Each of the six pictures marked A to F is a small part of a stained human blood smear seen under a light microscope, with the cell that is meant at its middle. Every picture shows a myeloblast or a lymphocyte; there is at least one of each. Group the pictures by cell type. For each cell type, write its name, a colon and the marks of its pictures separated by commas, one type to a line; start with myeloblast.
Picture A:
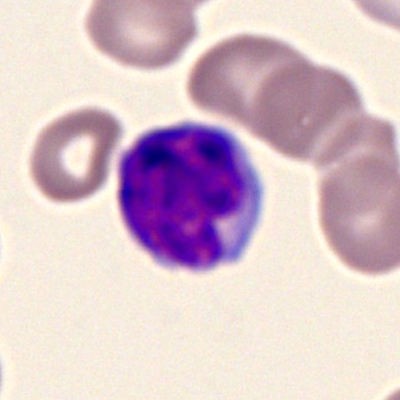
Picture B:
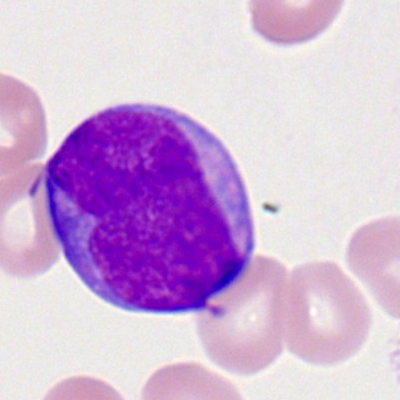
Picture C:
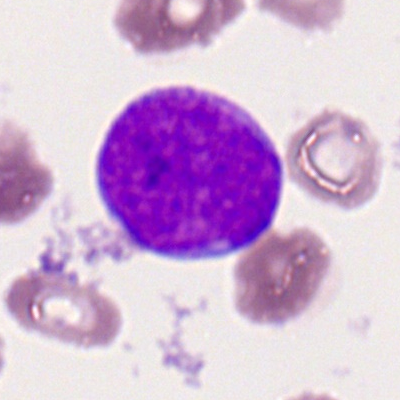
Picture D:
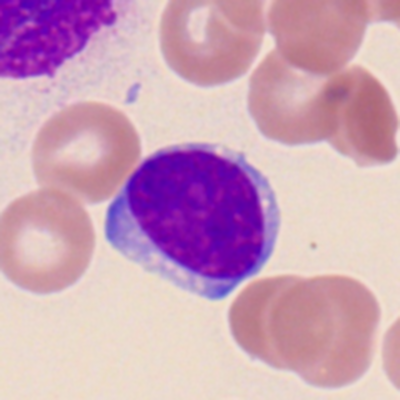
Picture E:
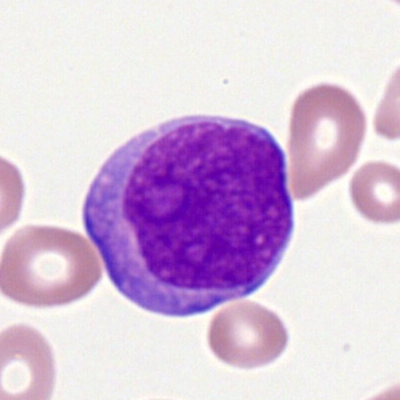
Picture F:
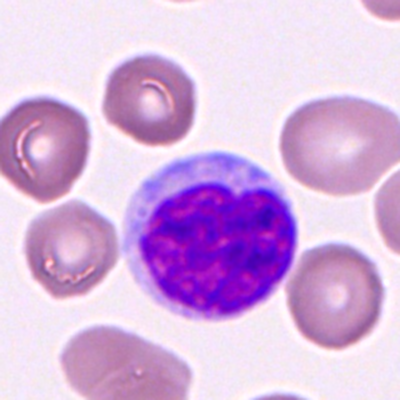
myeloblast: B, C, E
lymphocyte: A, D, F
